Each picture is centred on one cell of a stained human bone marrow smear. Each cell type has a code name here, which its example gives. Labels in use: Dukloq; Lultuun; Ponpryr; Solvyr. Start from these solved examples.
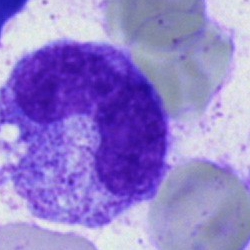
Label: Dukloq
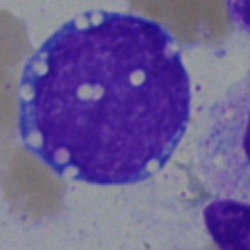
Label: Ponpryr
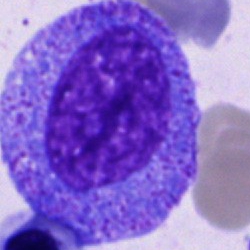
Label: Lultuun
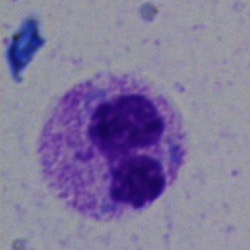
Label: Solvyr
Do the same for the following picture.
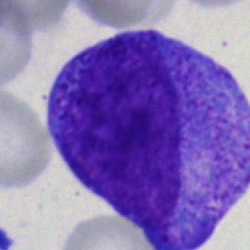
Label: Lultuun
